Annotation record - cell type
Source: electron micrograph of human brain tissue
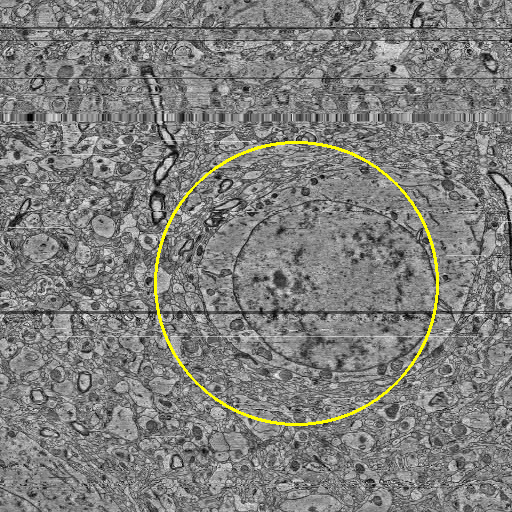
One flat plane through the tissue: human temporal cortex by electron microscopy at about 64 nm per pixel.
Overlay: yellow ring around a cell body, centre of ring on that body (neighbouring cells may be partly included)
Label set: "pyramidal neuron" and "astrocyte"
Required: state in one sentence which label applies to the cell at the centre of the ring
This cell should be labelled as a pyramidal neuron.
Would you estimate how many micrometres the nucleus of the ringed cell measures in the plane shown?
Roughly 13 by 12 micrometres in this plane, for the nucleus of the ringed cell.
